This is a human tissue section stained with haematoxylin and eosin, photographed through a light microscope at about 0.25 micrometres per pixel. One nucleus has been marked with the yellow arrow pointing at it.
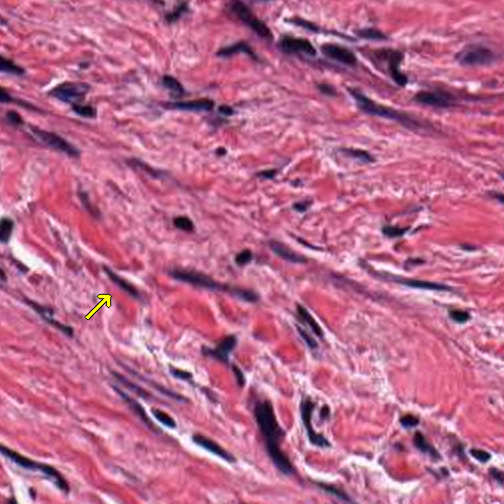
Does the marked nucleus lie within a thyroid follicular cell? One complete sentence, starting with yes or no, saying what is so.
No, the marked nucleus is not that of a thyroid follicular cell but that of a supporting cell.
